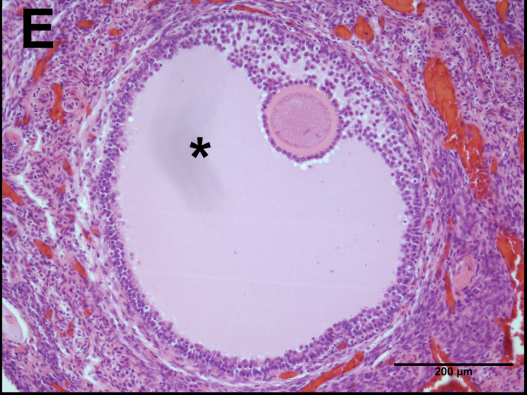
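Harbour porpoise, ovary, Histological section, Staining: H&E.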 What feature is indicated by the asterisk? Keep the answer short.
*Antrum folliculare*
